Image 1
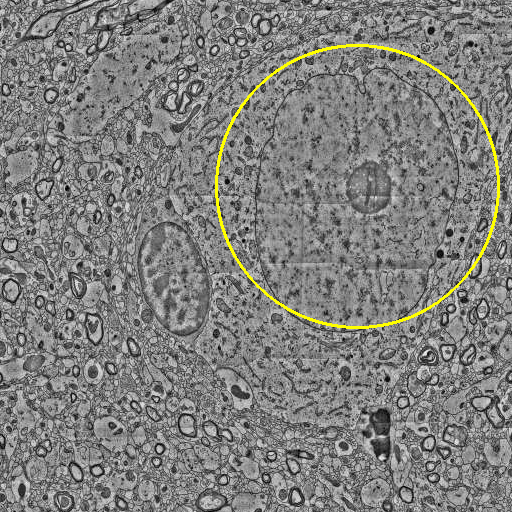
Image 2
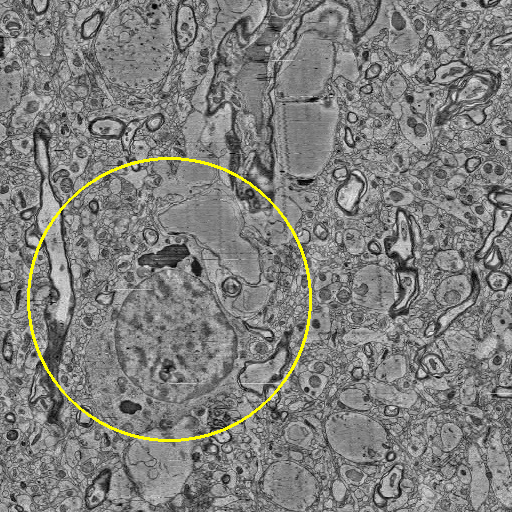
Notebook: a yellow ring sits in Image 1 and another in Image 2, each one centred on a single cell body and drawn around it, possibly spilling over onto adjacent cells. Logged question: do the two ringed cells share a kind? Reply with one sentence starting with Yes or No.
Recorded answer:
No, the centre cells inside the rings of Image 1 and Image 2 are of two kinds.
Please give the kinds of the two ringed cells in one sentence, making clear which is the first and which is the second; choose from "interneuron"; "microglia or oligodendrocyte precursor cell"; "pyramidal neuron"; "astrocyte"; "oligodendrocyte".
In the second picture the ringed cell is an oligodendrocyte; in the first it is a pyramidal neuron.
